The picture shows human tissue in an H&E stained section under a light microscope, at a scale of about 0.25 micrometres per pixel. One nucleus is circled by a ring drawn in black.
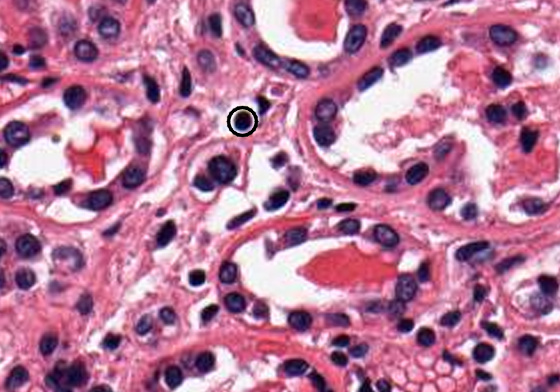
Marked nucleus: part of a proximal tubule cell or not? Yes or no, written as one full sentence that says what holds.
No, the marked nucleus, rather than belonging to a proximal tubule cell, belongs to a supporting cell.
